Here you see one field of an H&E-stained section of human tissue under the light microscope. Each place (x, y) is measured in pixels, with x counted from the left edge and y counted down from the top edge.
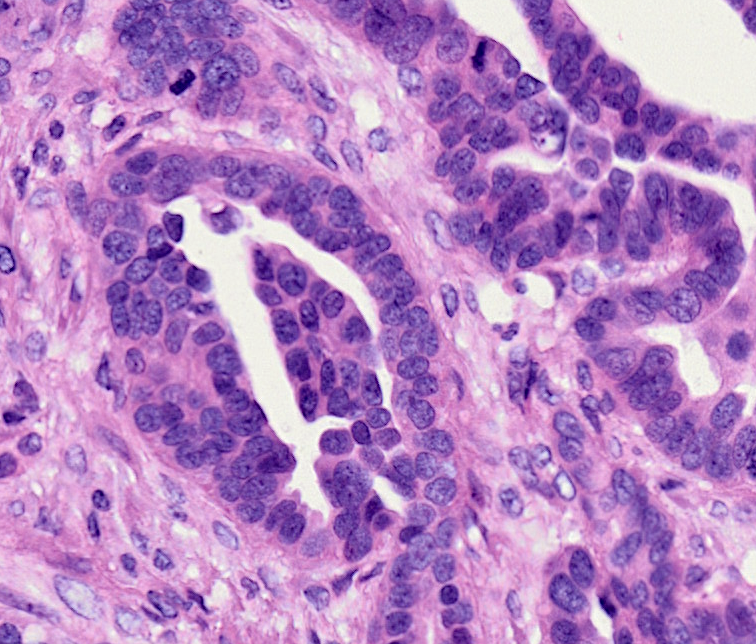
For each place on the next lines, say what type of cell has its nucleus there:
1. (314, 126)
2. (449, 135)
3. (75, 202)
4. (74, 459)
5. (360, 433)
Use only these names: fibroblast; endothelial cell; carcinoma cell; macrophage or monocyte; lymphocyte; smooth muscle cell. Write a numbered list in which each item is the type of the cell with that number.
1. fibroblast
2. carcinoma cell
3. fibroblast
4. fibroblast
5. carcinoma cell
